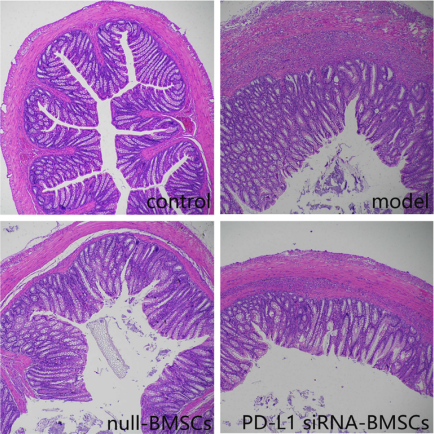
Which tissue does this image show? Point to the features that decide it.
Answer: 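Cross-sections of a hollow tube with a central lumen. Mucosa made of closely packed tubular glands (crypts) that are deep purple with nuclei. A pink layer of muscle forms the outer wall. So: Colon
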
